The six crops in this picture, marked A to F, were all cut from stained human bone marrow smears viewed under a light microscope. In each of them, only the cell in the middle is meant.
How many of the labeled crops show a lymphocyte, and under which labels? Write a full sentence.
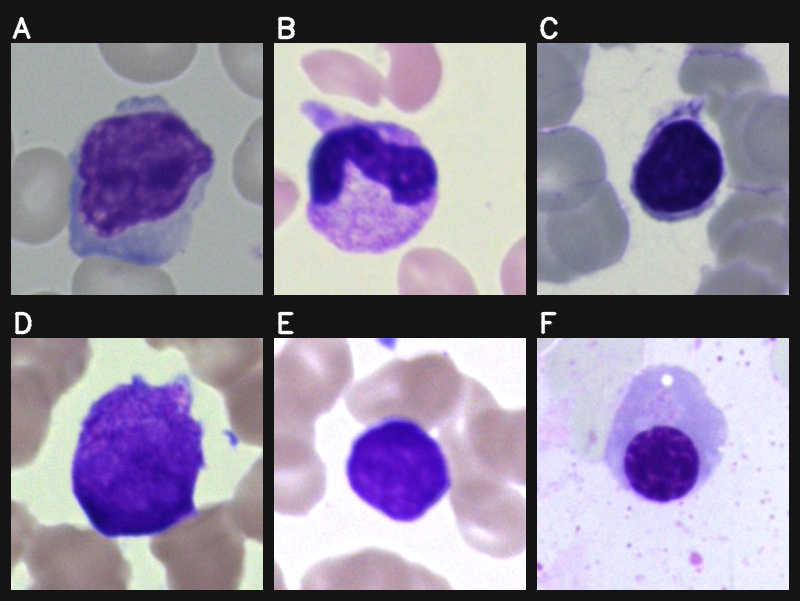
Here, three crops in all show lymphocytes: A, C and E.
